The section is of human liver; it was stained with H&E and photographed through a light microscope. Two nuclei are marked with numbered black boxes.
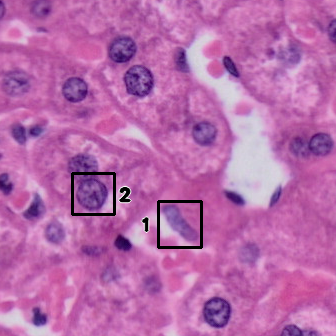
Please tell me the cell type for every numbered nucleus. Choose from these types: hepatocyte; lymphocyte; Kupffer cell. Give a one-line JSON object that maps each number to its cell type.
{"1": "Kupffer cell", "2": "hepatocyte"}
